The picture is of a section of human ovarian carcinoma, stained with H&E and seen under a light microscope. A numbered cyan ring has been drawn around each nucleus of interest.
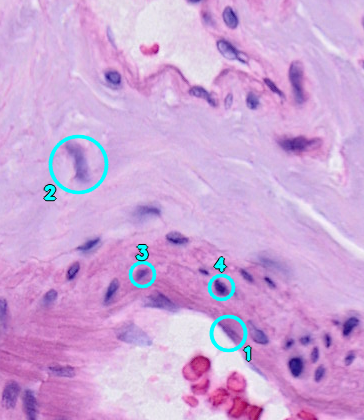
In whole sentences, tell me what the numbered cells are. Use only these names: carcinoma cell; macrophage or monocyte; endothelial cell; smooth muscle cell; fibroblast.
Cell 1 is an endothelial cell, cell 2 is a fibroblast, cell 3 is a smooth muscle cell and cell 4 is a smooth muscle cell.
